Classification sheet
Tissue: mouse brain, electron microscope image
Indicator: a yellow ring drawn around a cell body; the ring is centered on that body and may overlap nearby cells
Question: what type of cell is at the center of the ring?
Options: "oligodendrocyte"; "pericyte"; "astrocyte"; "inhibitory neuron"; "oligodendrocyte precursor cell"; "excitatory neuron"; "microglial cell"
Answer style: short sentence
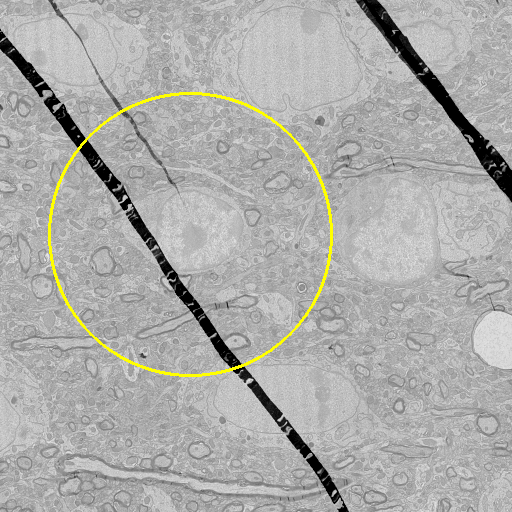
At the ring's center is an oligodendrocyte.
